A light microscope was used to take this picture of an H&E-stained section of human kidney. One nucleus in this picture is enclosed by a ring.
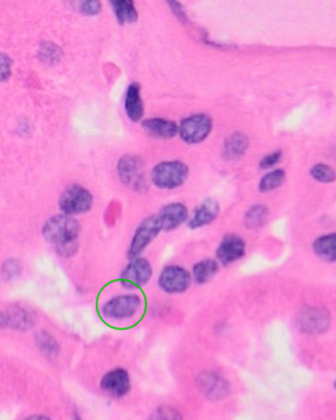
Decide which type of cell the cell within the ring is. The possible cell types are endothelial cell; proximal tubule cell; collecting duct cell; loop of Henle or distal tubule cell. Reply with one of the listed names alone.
collecting duct cell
